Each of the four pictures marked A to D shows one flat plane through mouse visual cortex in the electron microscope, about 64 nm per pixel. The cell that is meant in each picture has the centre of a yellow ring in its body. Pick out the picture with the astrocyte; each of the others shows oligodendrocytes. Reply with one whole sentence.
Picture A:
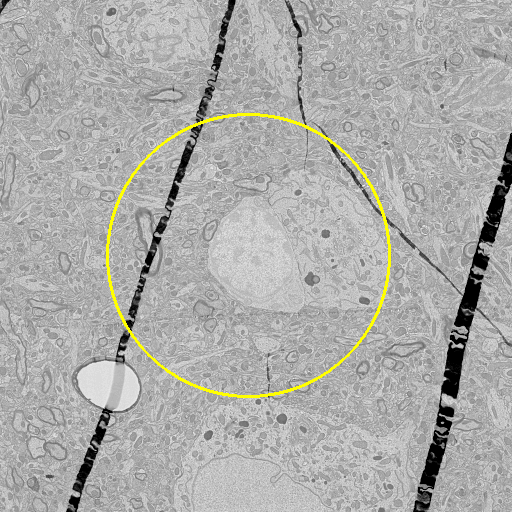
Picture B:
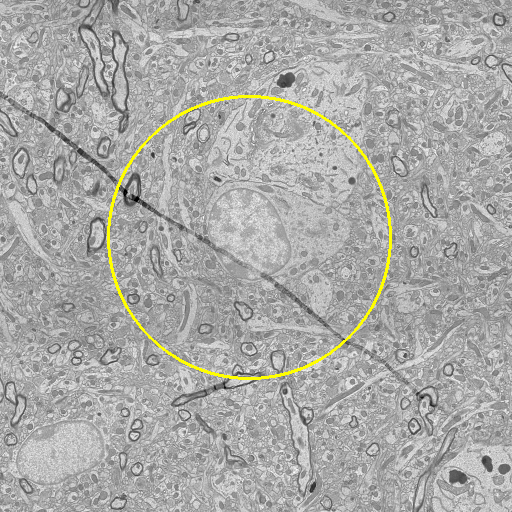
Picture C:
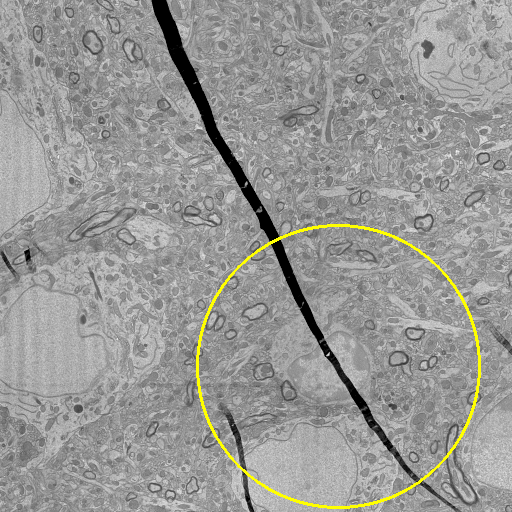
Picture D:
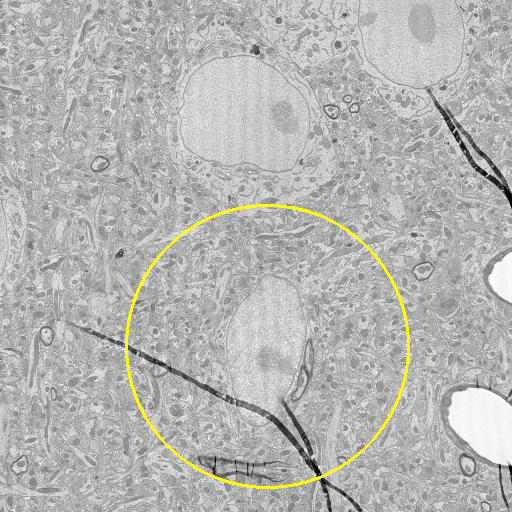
The picture with the astrocyte is D.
